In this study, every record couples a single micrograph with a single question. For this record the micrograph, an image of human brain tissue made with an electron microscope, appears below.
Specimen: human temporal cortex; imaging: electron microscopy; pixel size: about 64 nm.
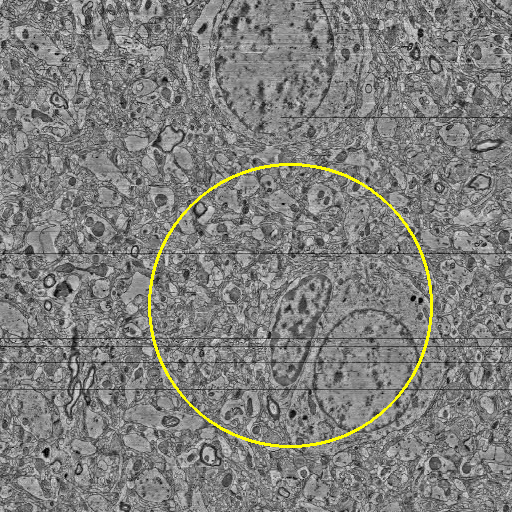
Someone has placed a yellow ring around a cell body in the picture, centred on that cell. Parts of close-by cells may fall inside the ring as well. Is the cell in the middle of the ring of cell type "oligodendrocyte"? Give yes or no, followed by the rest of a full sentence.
No, the cell centred in the ring shown in the picture has a different cell type.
